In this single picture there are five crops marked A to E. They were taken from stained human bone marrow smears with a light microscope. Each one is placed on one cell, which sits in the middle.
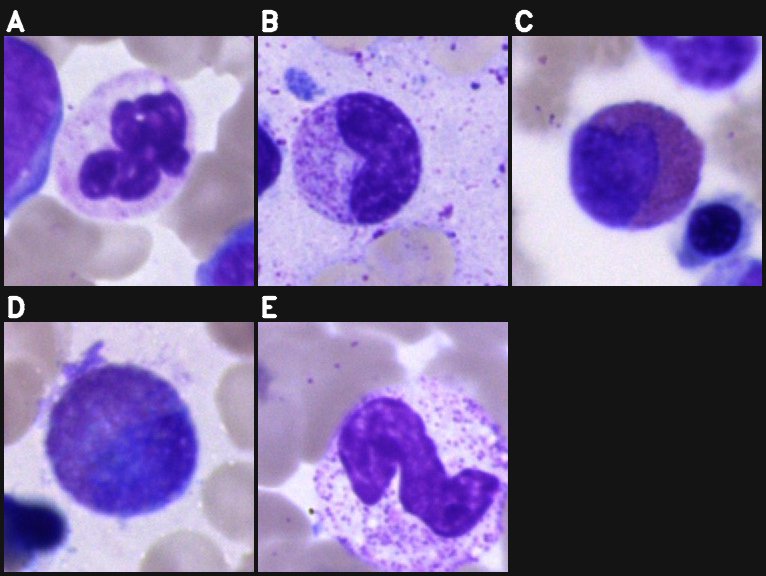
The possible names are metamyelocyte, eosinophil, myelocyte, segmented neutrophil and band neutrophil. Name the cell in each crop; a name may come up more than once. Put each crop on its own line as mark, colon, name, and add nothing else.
A: segmented neutrophil
B: metamyelocyte
C: eosinophil
D: eosinophil
E: band neutrophil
